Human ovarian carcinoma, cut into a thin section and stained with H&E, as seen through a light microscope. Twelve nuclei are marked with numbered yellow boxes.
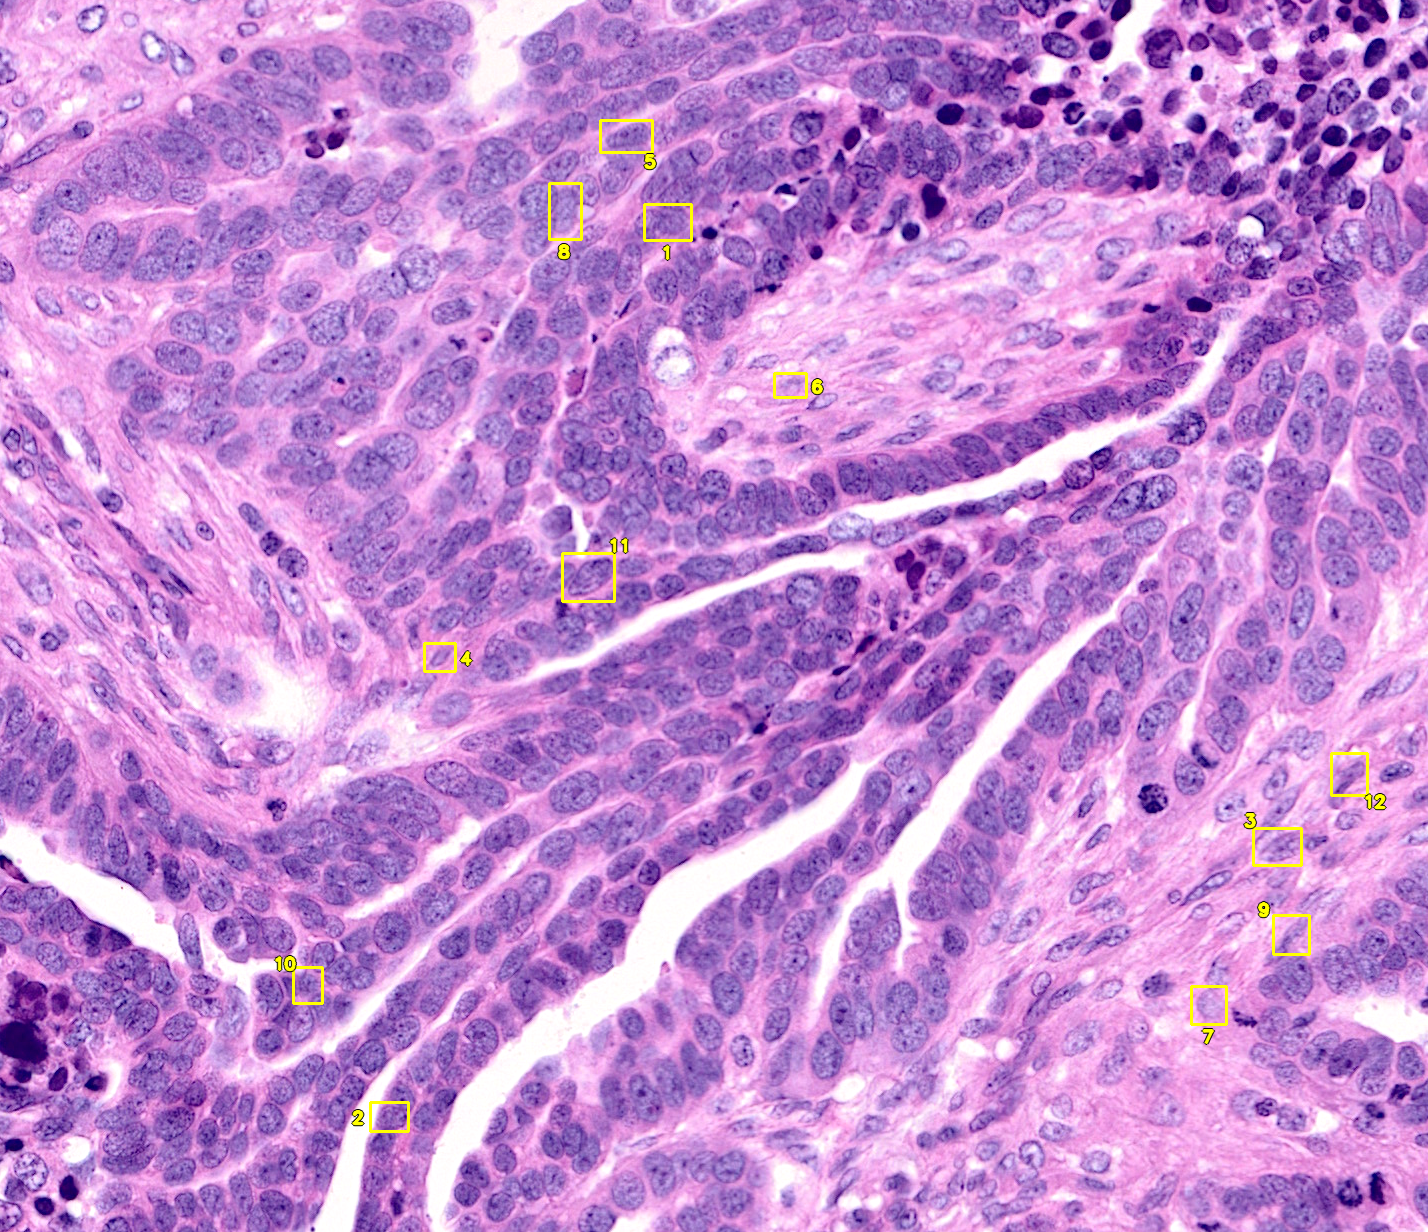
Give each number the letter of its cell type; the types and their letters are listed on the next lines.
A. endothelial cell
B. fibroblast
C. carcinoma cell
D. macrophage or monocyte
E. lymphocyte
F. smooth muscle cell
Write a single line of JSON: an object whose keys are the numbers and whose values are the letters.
{"1": "C", "2": "C", "3": "B", "4": "B", "5": "C", "6": "B", "7": "B", "8": "C", "9": "B", "10": "C", "11": "C", "12": "B"}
